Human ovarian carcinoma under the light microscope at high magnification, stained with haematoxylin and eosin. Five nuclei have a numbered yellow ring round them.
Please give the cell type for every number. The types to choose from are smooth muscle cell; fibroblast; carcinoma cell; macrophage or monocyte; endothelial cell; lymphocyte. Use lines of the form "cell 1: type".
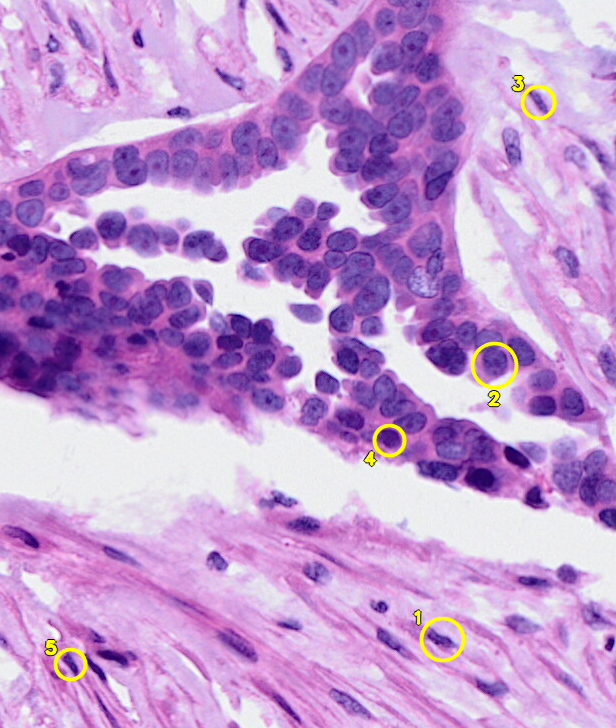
cell 1: fibroblast
cell 2: carcinoma cell
cell 3: fibroblast
cell 4: carcinoma cell
cell 5: fibroblast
